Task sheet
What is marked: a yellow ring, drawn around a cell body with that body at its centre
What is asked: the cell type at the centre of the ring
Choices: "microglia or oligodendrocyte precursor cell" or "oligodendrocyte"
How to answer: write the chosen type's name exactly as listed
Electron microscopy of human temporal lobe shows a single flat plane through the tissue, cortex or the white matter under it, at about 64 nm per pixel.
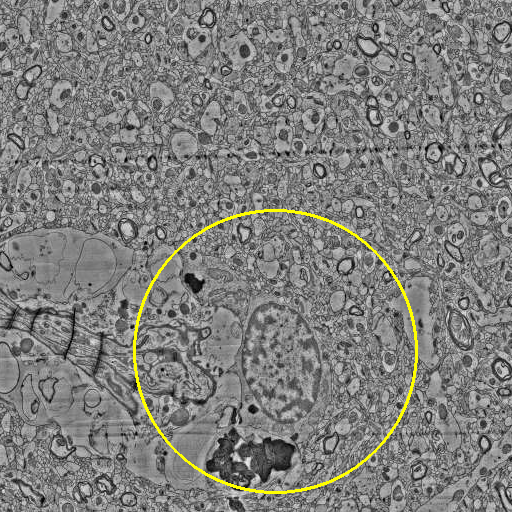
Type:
oligodendrocyte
